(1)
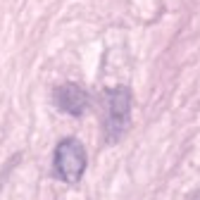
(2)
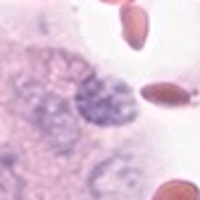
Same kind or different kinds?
Different: the first is a vascular myocyte, the second a cytotrophoblast.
